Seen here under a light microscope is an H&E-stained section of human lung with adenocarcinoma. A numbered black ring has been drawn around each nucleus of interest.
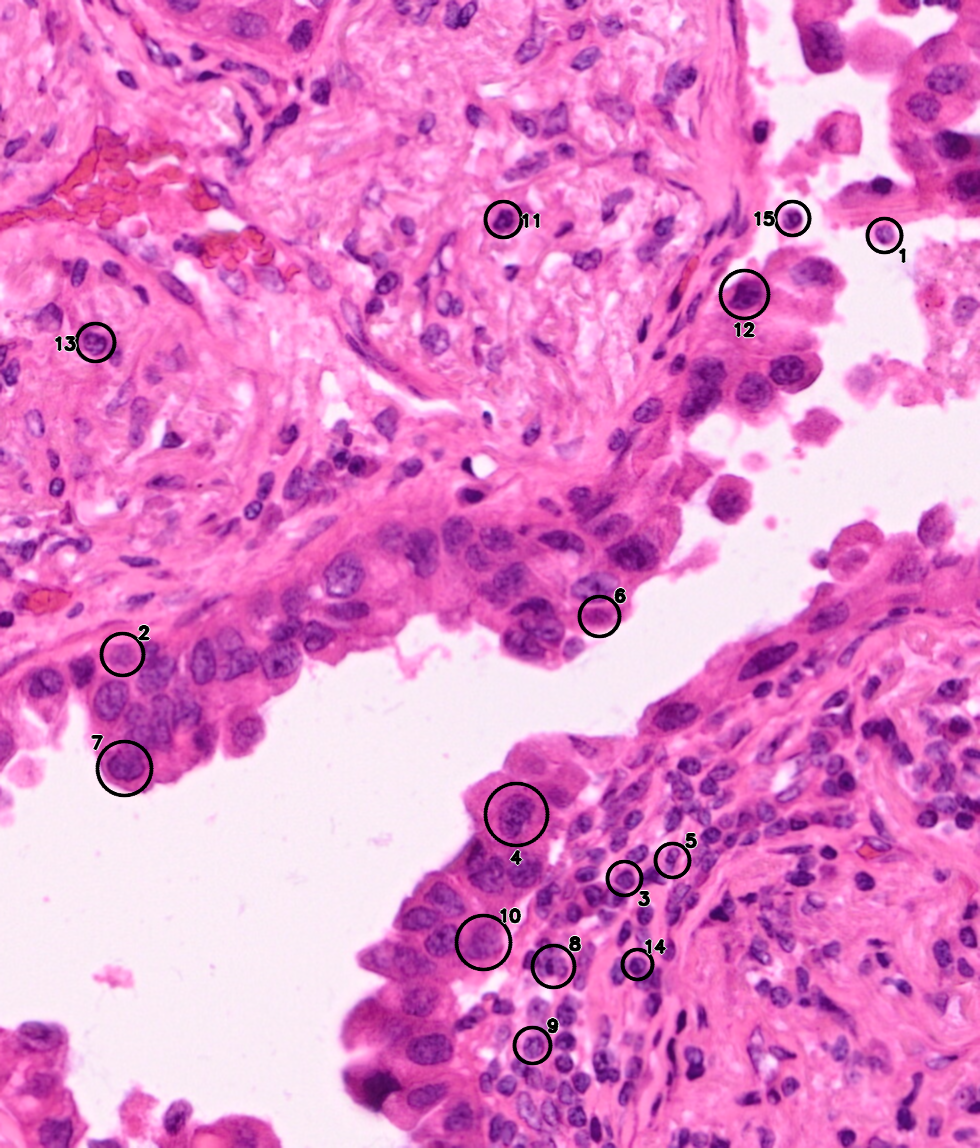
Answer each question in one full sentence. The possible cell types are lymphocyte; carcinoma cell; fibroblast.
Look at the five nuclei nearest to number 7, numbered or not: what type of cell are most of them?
Carcinoma cells make up most of the five nuclei closest to number 7.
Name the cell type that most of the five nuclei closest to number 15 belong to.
The majority of the five nuclei closest to number 15 belong to fibroblasts.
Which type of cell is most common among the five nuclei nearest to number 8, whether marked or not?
Around number 8, most of the five nearest nuclei are those of lymphocytes.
